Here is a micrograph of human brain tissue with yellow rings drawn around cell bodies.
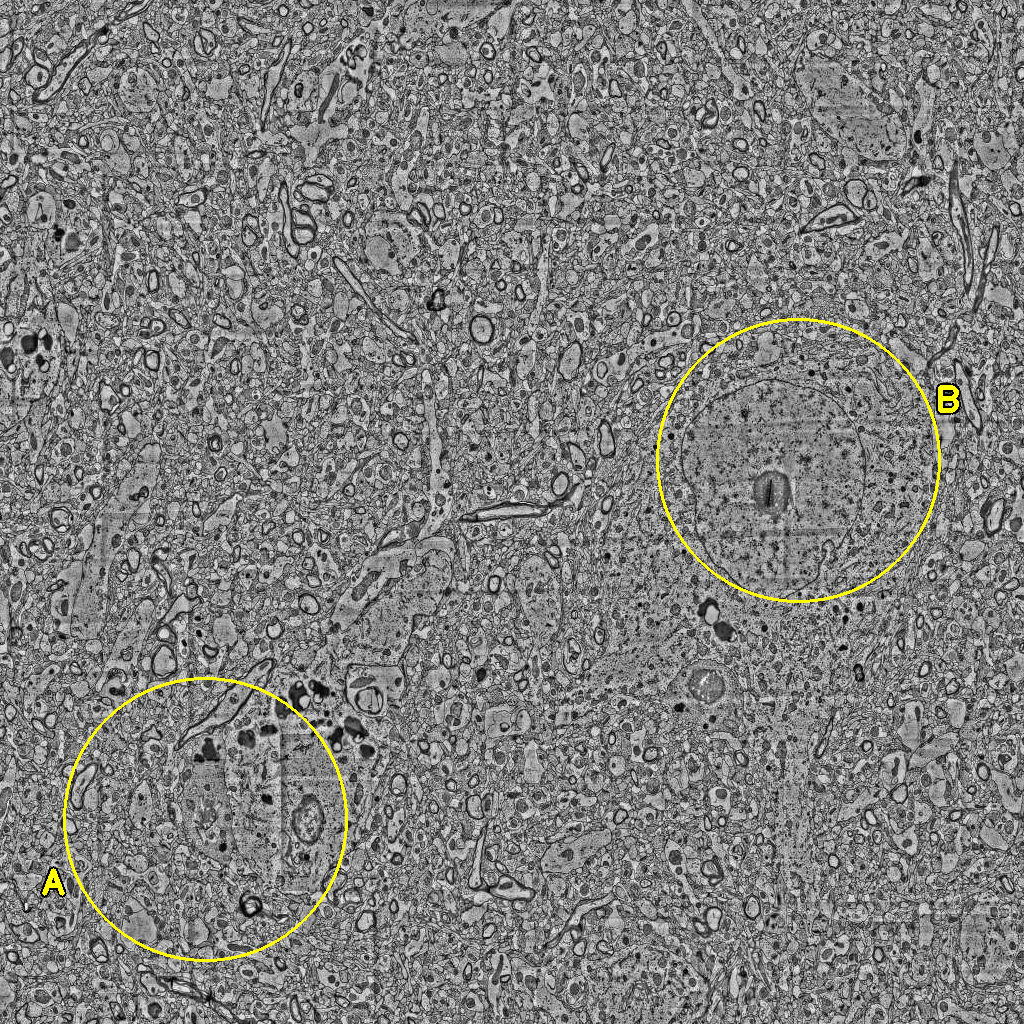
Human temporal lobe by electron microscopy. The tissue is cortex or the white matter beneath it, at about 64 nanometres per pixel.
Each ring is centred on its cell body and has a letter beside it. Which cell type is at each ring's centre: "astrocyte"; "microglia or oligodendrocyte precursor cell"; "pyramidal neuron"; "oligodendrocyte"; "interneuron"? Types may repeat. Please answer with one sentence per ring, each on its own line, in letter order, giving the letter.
Ring A shows an oligodendrocyte at its centre.
Ring B shows a pyramidal neuron at its centre.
